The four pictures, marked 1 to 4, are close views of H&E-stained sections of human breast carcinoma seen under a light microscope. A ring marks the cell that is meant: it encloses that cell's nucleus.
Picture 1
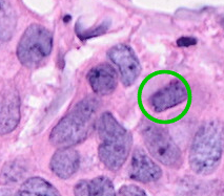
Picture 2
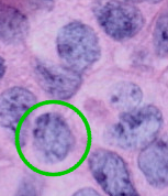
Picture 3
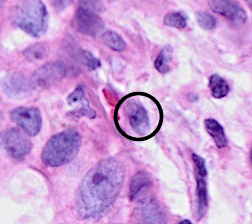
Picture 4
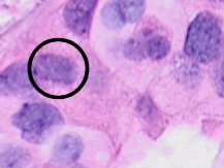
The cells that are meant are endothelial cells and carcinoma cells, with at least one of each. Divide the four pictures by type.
1: carcinoma cell
2: carcinoma cell
3: endothelial cell
4: carcinoma cell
